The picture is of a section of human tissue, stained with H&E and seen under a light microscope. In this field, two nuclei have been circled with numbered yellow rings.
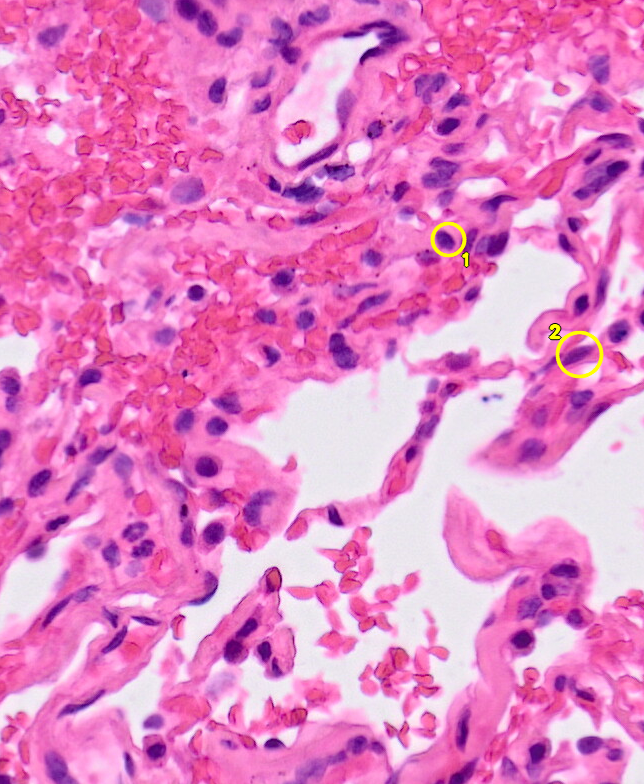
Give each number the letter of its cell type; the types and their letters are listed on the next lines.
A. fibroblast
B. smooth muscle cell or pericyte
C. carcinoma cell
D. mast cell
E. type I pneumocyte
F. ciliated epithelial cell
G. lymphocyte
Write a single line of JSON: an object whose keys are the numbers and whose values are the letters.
{"1": "G", "2": "E"}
